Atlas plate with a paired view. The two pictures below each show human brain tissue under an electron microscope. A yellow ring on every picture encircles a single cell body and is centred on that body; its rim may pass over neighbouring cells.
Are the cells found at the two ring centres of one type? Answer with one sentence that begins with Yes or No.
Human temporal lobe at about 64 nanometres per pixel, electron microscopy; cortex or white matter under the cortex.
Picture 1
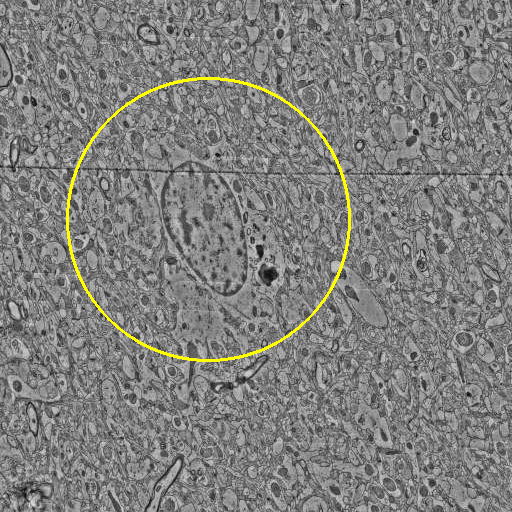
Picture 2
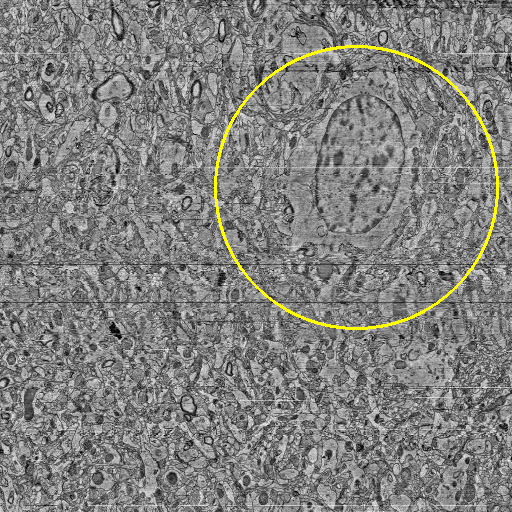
Yes, the two cells lying at the centres of the rings share a single type.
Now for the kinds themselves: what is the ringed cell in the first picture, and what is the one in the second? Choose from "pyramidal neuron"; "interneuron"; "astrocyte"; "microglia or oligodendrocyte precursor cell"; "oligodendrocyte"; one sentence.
In each picture the ringed cell is an astrocyte.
